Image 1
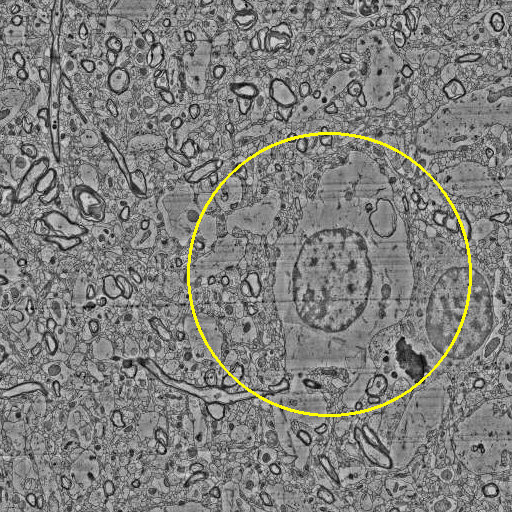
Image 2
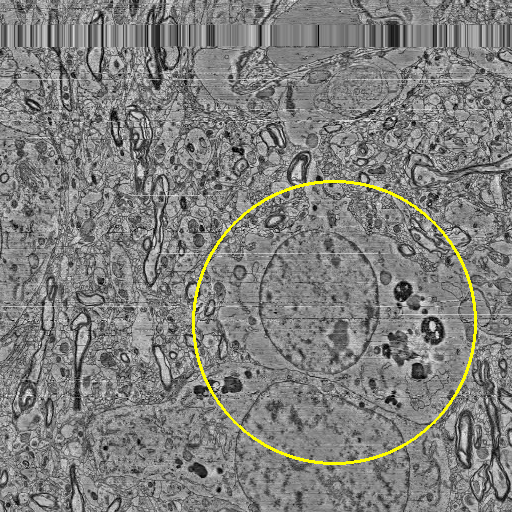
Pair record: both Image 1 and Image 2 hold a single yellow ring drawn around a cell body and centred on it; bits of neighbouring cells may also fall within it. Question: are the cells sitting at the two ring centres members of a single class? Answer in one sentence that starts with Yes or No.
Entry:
Yes, both ring-centre cells in Image 1 and Image 2 are members of one class.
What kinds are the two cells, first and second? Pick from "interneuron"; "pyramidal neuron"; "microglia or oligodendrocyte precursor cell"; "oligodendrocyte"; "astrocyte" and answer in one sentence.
In each picture the ringed cell is an astrocyte.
